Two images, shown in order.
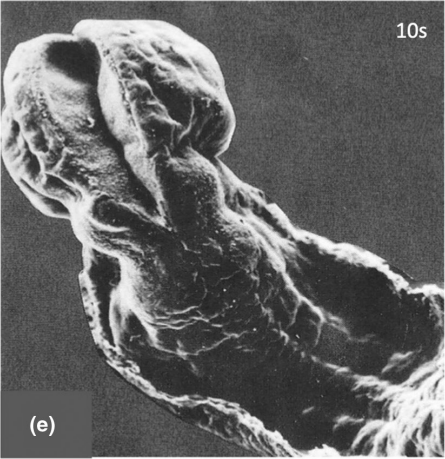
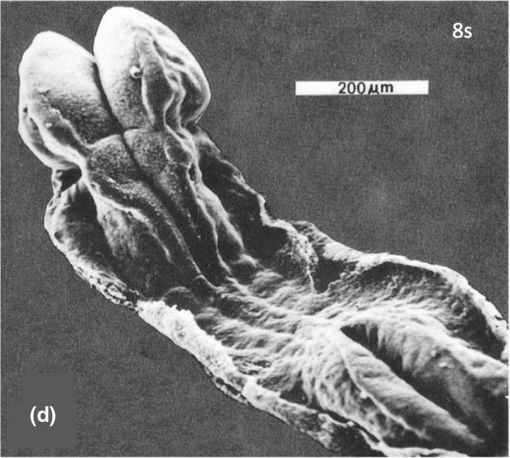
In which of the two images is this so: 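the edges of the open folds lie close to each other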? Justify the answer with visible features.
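The first image. First image: the paired head folds are drawn together, with their edges nearly meeting over a curved surface.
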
